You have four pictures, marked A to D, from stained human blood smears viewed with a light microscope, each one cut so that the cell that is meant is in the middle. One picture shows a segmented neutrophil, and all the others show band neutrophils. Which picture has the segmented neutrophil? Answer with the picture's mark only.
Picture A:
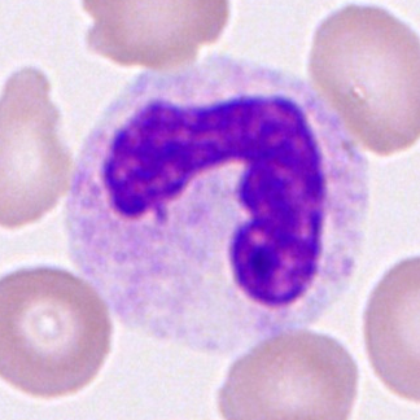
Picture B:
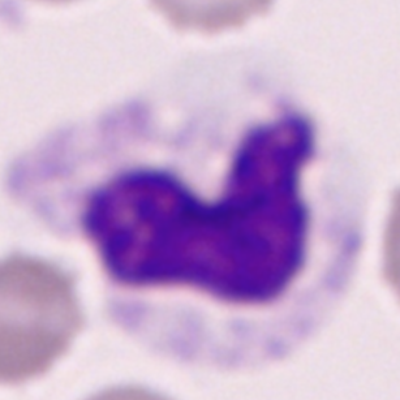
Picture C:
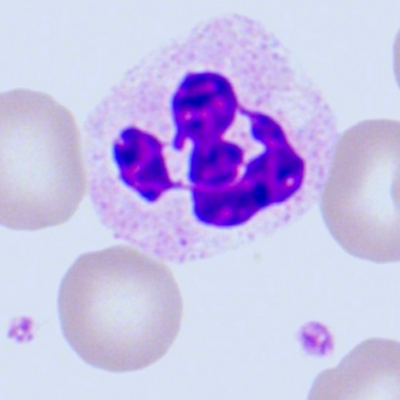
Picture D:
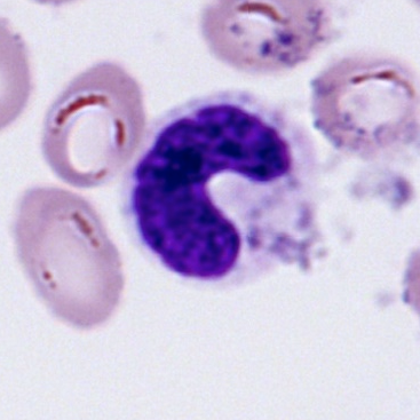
C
